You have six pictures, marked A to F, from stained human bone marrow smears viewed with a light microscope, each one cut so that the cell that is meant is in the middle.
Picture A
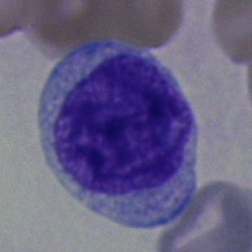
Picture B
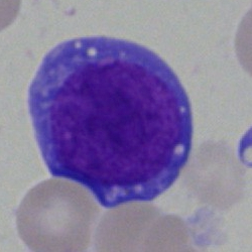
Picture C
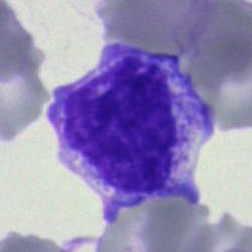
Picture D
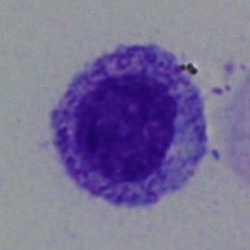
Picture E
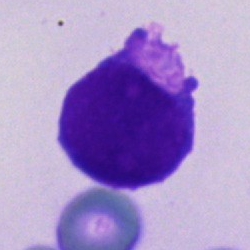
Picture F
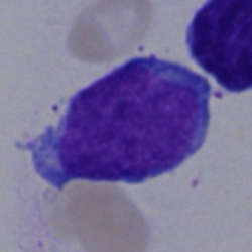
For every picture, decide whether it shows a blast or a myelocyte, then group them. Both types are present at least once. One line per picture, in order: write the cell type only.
myelocyte
blast
myelocyte
myelocyte
blast
blast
